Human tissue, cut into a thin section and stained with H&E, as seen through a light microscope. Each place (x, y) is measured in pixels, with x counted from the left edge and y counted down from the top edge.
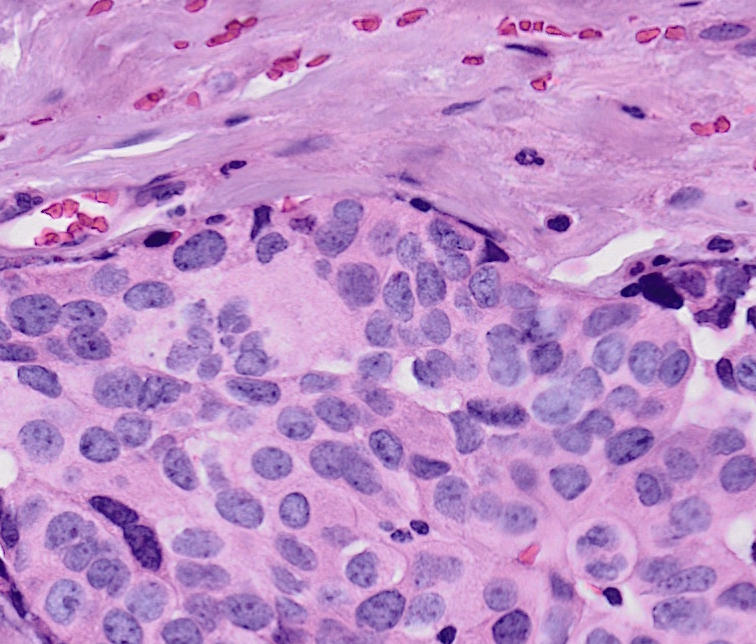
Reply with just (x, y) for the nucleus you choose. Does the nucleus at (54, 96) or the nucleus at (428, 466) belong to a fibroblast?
(54, 96)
